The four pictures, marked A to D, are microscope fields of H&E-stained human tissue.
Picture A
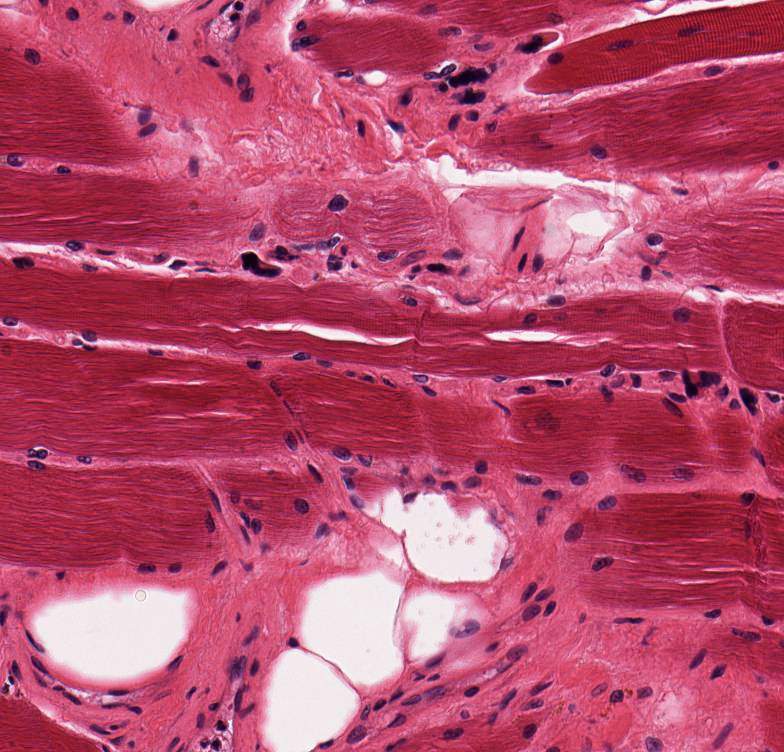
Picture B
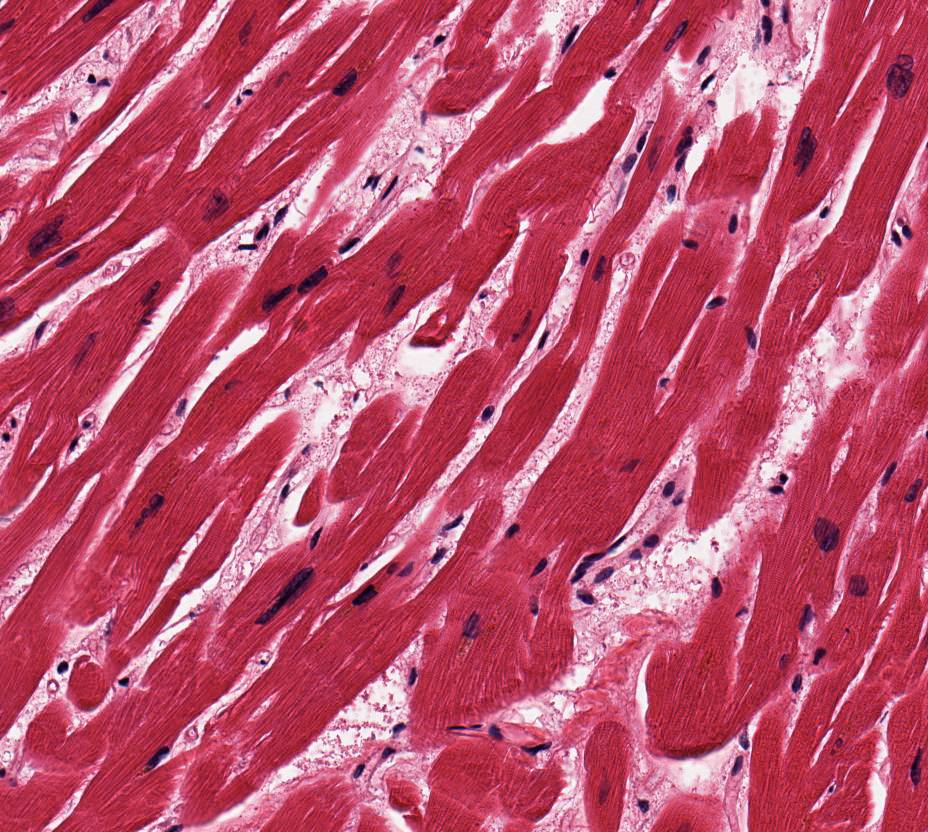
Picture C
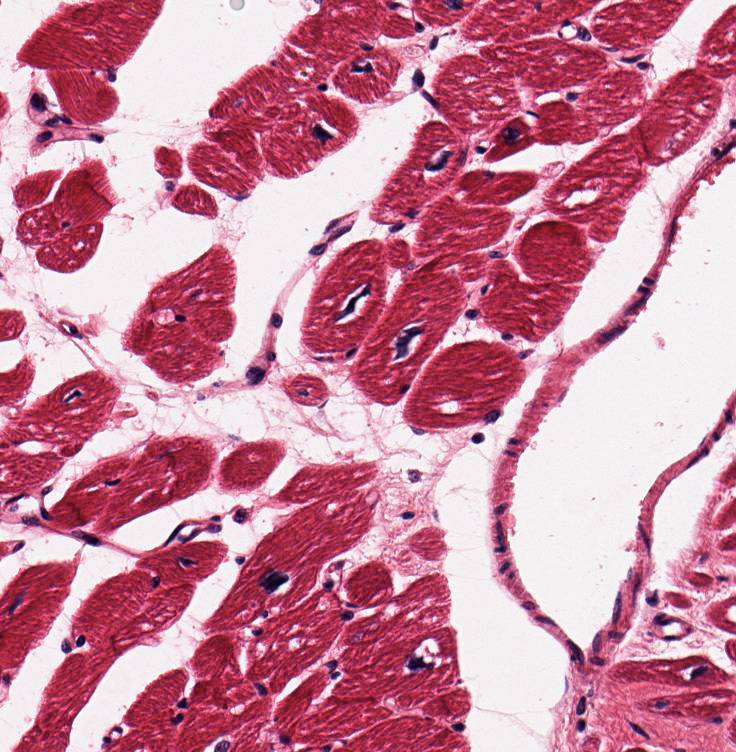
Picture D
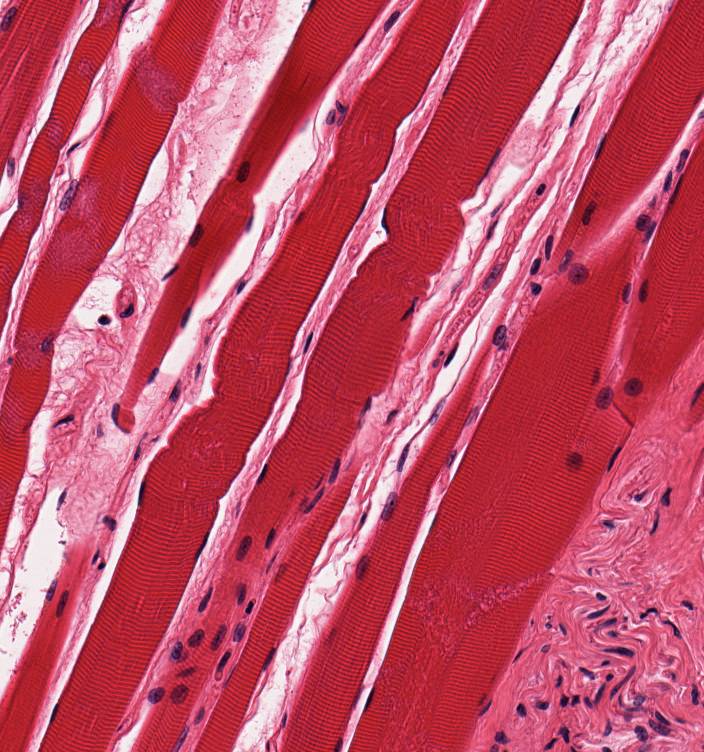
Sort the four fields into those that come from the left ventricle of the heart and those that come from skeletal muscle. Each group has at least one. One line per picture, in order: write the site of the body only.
skeletal muscle
left ventricle of the heart
left ventricle of the heart
skeletal muscle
